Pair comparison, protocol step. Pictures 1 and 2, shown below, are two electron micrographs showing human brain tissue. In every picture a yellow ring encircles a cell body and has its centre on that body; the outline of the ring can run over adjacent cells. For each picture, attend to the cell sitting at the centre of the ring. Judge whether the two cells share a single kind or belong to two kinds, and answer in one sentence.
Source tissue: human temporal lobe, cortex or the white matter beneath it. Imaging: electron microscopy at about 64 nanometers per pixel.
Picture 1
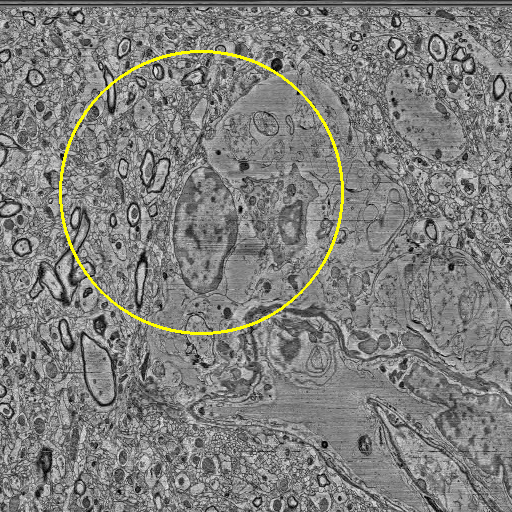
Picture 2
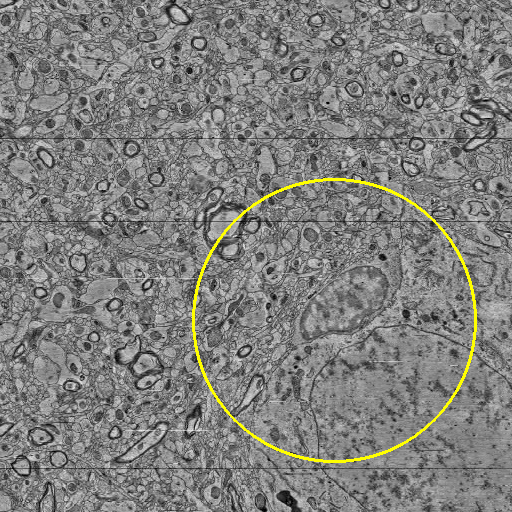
The two cells at the ring centres in Picture 1 and Picture 2 belong to two kinds.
